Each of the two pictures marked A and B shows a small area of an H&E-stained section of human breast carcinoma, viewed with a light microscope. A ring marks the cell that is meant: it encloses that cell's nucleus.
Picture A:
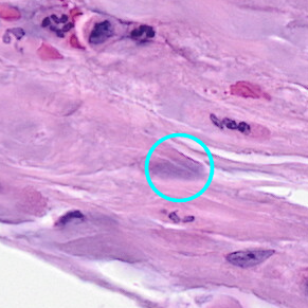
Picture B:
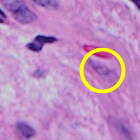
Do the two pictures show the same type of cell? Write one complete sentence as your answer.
No, picture A shows a fibroblast and picture B shows an endothelial cell.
